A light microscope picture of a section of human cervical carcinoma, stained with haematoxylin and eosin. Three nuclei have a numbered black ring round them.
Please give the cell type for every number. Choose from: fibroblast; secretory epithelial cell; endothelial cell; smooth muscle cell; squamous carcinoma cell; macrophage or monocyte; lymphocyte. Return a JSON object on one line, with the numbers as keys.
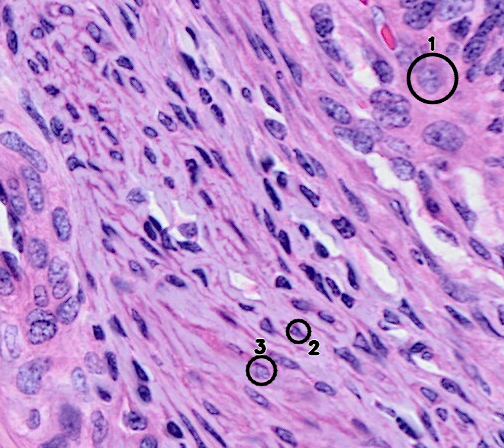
{"1": "endothelial cell", "2": "smooth muscle cell", "3": "smooth muscle cell"}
